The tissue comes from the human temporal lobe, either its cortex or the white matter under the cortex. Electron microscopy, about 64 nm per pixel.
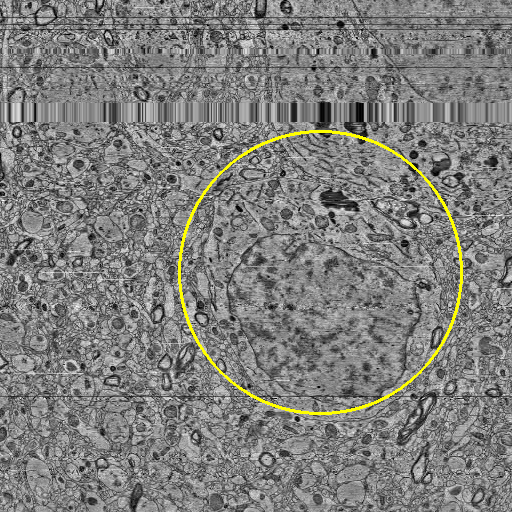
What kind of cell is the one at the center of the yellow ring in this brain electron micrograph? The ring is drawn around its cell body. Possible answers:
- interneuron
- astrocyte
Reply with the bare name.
interneuron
